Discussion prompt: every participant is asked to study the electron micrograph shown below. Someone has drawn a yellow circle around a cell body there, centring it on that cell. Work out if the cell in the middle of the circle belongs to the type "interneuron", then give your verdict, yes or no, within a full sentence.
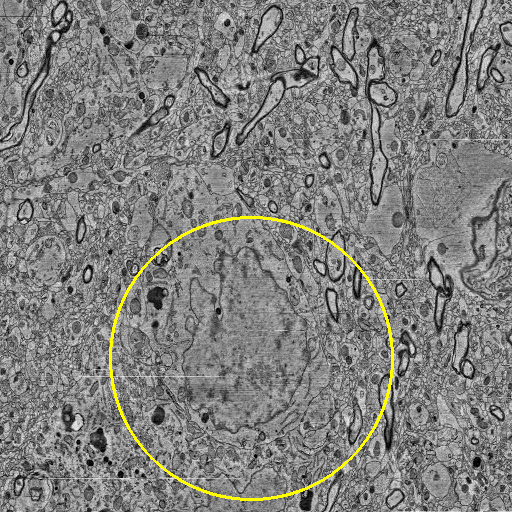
Yes, my verdict is that the cell in the circle's centre is of that type.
